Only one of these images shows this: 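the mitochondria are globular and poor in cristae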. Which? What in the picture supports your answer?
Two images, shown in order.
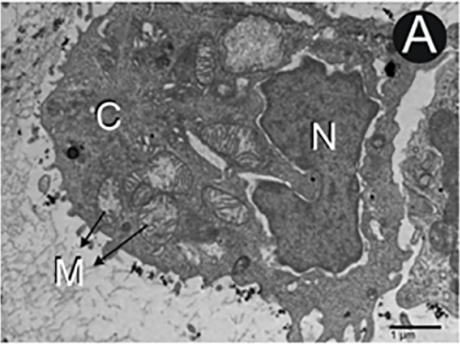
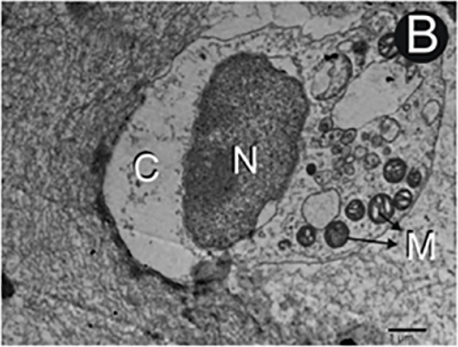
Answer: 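Second image: the marked organelles are small, round and dark, with few clear internal folds.
Answer: the second image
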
